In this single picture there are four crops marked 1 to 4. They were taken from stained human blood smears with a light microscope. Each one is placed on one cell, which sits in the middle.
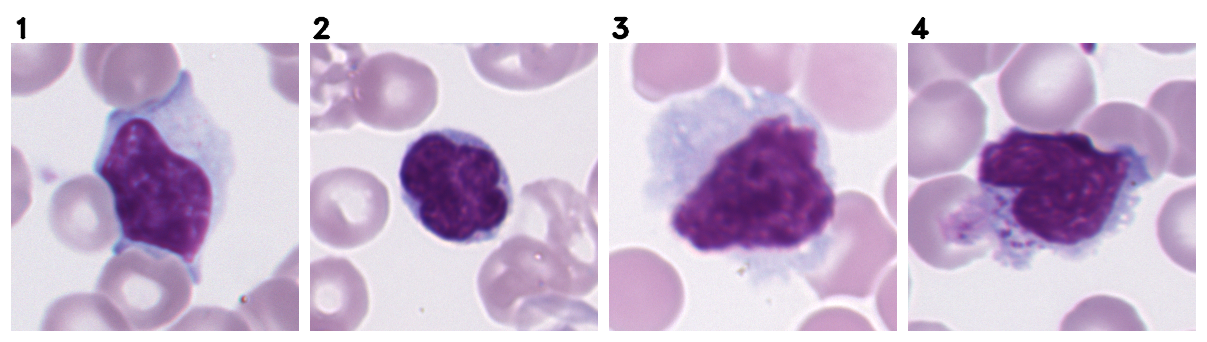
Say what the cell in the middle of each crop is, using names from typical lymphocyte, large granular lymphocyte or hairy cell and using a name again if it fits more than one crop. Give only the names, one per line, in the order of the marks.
typical lymphocyte
typical lymphocyte
hairy cell
large granular lymphocyte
